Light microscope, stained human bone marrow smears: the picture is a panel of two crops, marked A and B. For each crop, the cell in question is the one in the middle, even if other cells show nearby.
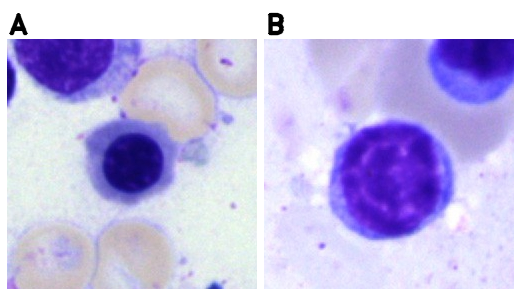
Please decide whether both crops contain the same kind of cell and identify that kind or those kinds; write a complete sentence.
No, an erythroblast is in crop A, and a lymphocyte is in crop B.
